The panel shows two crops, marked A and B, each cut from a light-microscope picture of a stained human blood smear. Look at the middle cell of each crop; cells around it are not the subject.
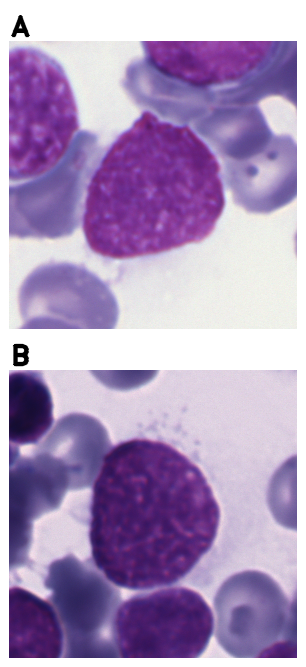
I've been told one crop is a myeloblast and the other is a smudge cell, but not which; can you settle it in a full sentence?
Crop A and crop B are a myeloblast and a smudge cell, in that order.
